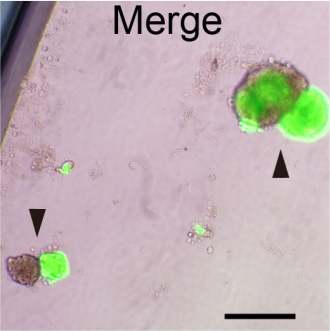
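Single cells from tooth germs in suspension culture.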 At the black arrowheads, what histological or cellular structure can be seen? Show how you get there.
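Each arrowhead points to a pair of joined round cell aggregates. So: mixed epithelial and mesenchymal spheres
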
